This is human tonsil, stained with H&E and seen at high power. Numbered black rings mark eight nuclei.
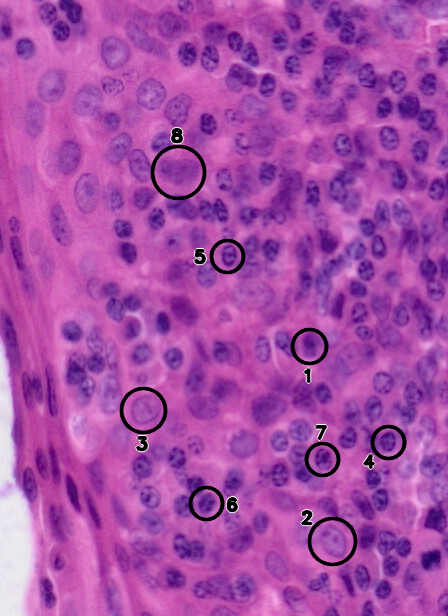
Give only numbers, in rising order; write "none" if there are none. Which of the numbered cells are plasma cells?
4, 5, 6, 7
